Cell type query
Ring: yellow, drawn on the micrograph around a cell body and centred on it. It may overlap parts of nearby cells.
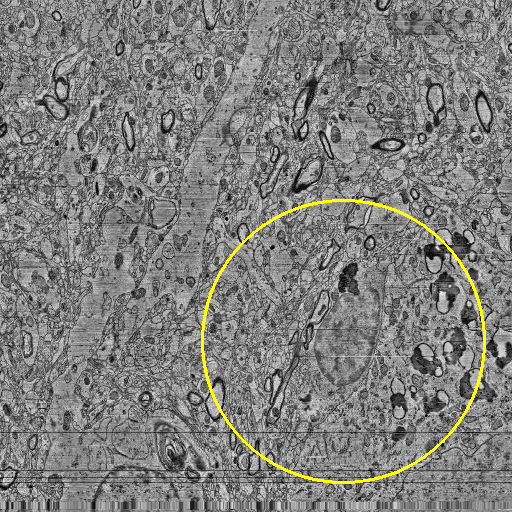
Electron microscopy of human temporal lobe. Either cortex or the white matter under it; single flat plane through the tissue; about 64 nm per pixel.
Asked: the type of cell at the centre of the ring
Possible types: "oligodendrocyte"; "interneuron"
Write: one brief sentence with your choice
The ring marks an oligodendrocyte.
